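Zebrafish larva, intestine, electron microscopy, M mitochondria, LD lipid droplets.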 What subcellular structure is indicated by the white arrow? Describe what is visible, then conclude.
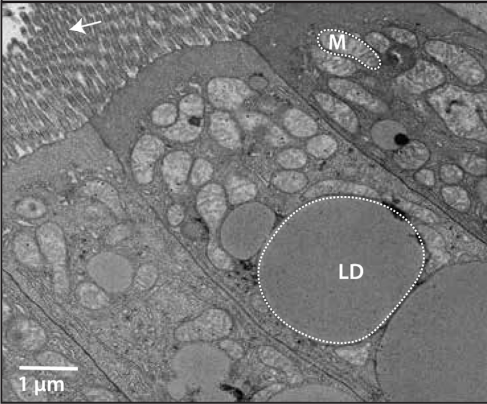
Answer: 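Closely packed, regularly spaced slender projections at the upper left edge of the cells. The arrow points into this array.
Answer: microvilli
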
